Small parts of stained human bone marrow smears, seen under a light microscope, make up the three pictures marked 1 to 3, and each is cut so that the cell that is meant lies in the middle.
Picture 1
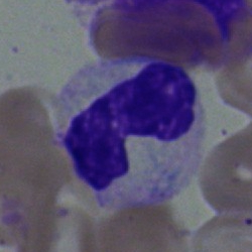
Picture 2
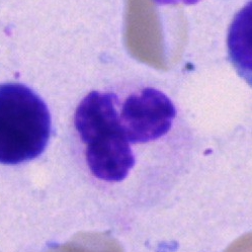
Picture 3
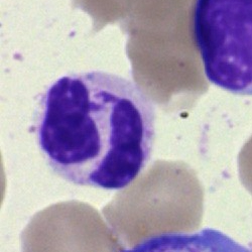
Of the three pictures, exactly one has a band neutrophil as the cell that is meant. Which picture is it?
1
